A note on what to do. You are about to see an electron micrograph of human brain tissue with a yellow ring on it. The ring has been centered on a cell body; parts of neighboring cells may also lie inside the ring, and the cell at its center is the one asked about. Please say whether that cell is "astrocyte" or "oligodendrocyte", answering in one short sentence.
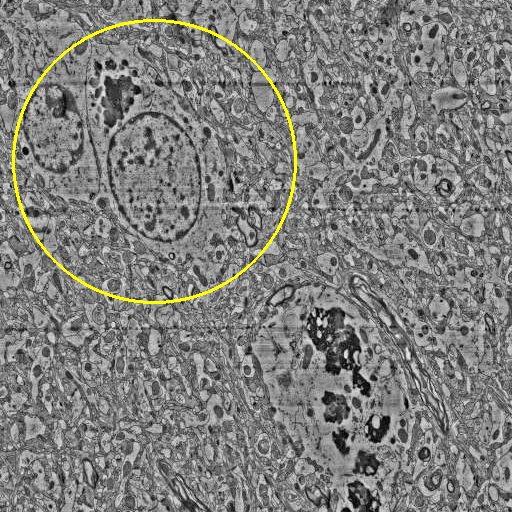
The yellow ring sits on an astrocyte.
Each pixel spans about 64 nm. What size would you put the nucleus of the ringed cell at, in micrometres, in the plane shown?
About 8 by 6 micrometers for the nucleus, in this plane.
